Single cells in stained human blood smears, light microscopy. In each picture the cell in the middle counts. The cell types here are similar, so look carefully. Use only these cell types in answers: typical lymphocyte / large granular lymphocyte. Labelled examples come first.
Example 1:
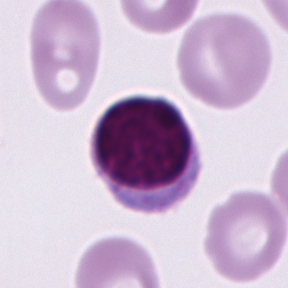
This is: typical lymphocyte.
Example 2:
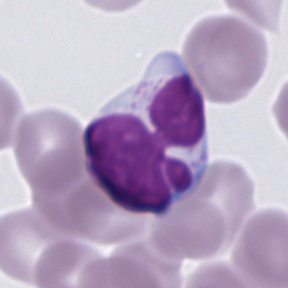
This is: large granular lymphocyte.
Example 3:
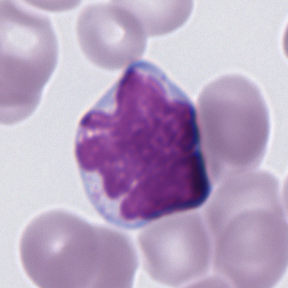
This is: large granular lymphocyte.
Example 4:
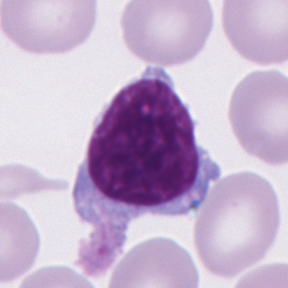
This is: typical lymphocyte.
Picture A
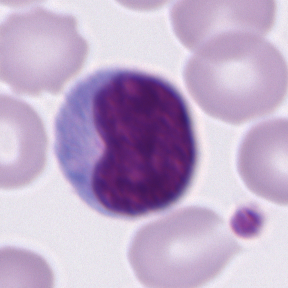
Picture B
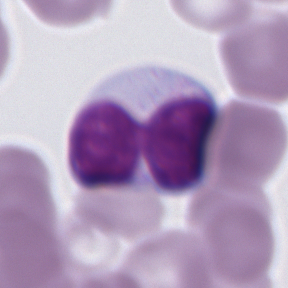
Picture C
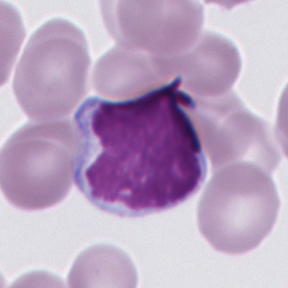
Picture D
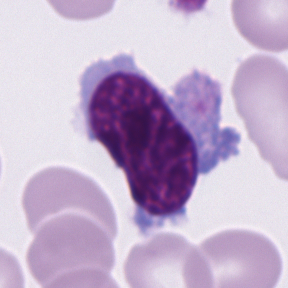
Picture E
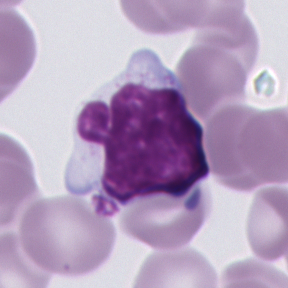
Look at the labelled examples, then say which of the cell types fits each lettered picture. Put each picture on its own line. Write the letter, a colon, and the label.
A: typical lymphocyte.
B: large granular lymphocyte.
C: large granular lymphocyte.
D: typical lymphocyte.
E: large granular lymphocyte.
